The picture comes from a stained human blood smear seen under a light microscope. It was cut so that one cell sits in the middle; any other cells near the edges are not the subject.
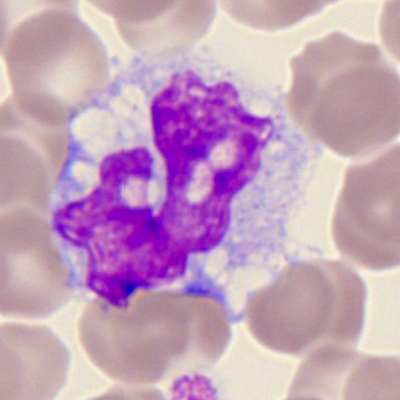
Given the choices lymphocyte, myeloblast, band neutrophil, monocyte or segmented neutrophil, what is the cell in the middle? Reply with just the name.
monocyte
